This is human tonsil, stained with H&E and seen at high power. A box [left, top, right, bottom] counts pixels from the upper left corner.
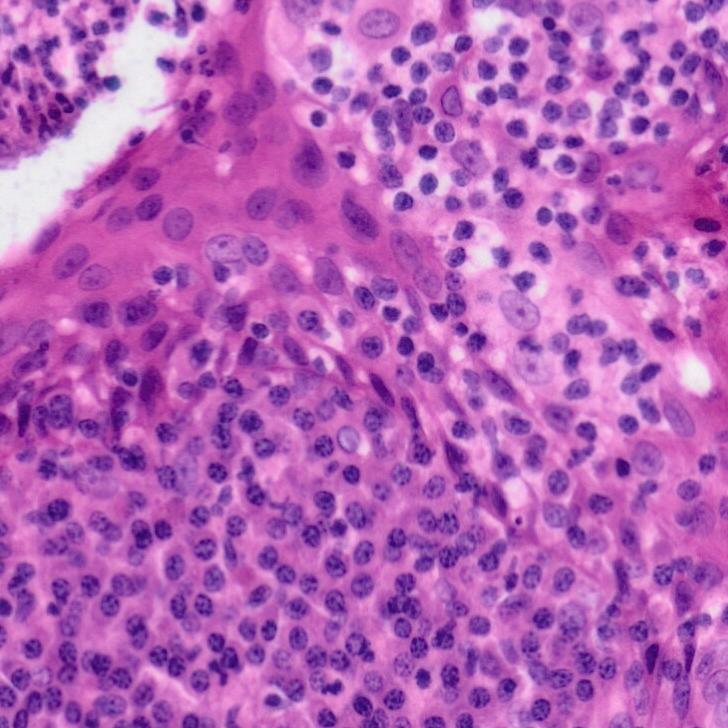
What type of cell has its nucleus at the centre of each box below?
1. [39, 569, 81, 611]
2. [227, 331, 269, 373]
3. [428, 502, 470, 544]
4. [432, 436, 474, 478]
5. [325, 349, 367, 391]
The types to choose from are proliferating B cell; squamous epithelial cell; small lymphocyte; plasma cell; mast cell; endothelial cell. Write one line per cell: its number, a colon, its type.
1: plasma cell
2: squamous epithelial cell
3: plasma cell
4: squamous epithelial cell
5: squamous epithelial cell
